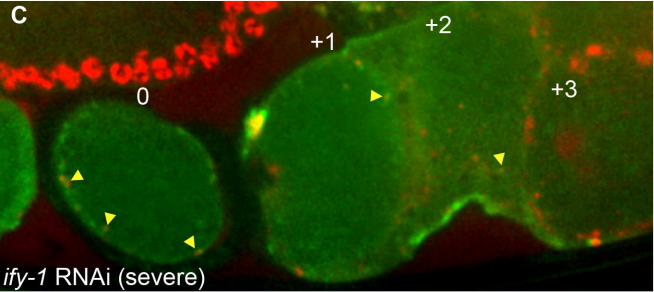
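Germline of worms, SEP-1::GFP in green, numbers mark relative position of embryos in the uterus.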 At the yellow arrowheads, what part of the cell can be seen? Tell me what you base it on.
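Small punctate dots lie near the periphery of the embryos. The dots are yellowish where green and red overlap. So: vesicles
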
